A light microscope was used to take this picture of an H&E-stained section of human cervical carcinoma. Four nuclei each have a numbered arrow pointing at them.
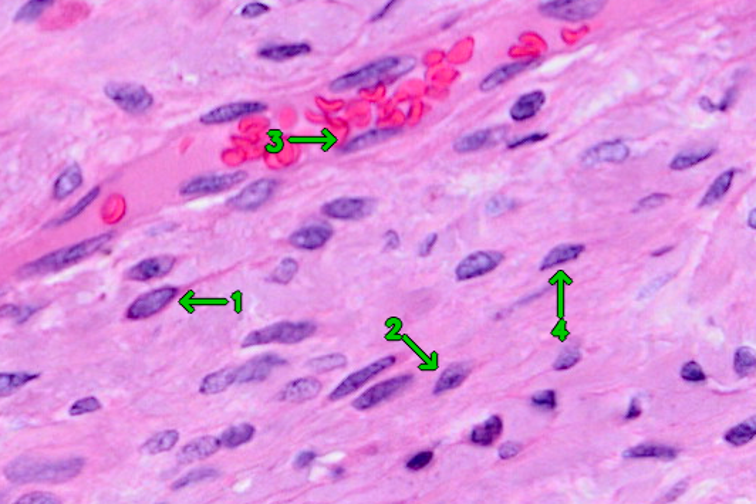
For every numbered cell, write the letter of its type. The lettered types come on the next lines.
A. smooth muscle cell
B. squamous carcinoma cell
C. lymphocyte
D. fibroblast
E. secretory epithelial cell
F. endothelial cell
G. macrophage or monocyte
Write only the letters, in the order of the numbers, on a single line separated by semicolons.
A; D; F; D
